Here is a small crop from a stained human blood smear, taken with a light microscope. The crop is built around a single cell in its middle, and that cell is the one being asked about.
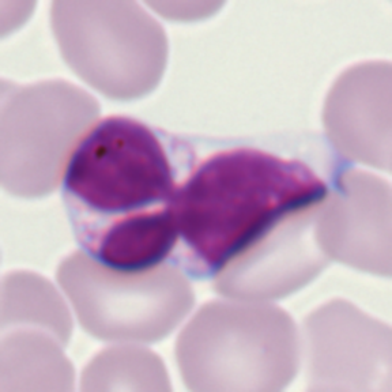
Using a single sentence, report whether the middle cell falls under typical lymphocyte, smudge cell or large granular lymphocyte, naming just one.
The cell that lies at the centre of the crop is a large granular lymphocyte.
